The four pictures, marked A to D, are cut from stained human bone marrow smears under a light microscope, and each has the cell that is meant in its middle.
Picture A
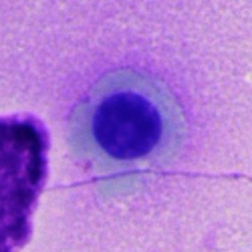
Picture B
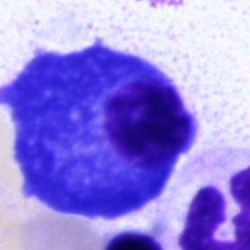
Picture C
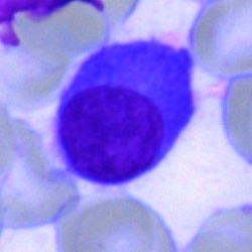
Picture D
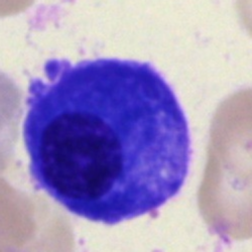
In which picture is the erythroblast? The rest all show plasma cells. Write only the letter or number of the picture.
A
